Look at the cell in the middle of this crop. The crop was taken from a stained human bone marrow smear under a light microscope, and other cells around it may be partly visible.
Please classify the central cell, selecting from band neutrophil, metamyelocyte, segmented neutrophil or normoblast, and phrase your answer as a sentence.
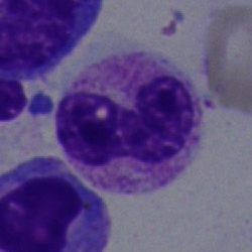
Classified as a band neutrophil is the cell in the middle of this crop.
